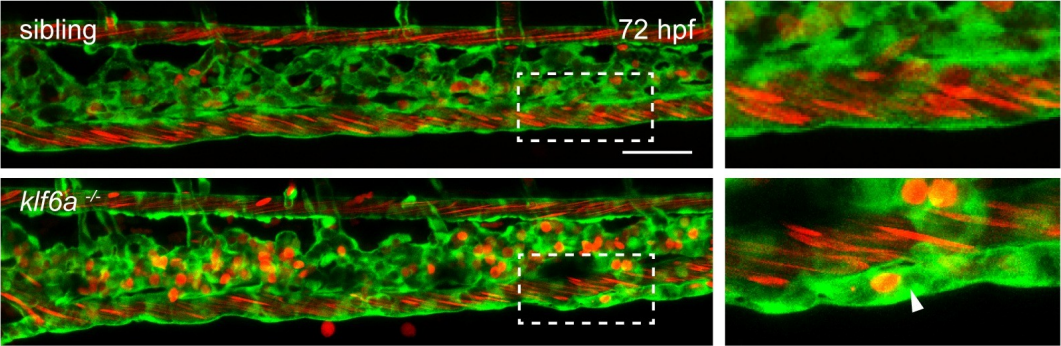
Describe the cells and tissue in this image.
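Lateral view of the tail of a fish embryo showing a green vascular network with red cells. Above lies a straight horizontal vessel, and below it a meshwork of interconnected green vessels forming loops and gaps. Elongated red streaks run obliquely through the trunk, and round red cells sit within the vessels, more numerous in the lower image.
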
